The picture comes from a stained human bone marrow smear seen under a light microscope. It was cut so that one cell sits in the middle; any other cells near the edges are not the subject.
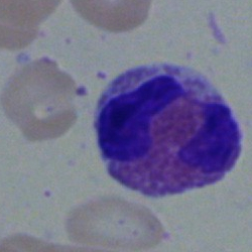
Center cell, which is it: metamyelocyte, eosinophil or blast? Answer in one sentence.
As for the central cell, it is an eosinophil.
